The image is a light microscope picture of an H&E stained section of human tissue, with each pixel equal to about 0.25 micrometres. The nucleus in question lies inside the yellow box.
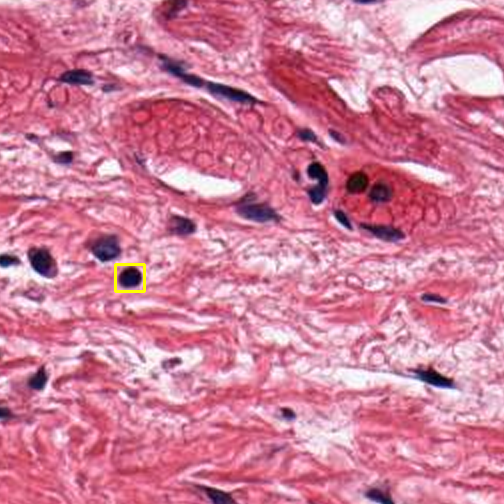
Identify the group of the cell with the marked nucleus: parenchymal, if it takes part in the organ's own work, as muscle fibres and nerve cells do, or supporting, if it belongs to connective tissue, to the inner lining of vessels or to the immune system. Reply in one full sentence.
In this field of view, a supporting cell owns the marked nucleus.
